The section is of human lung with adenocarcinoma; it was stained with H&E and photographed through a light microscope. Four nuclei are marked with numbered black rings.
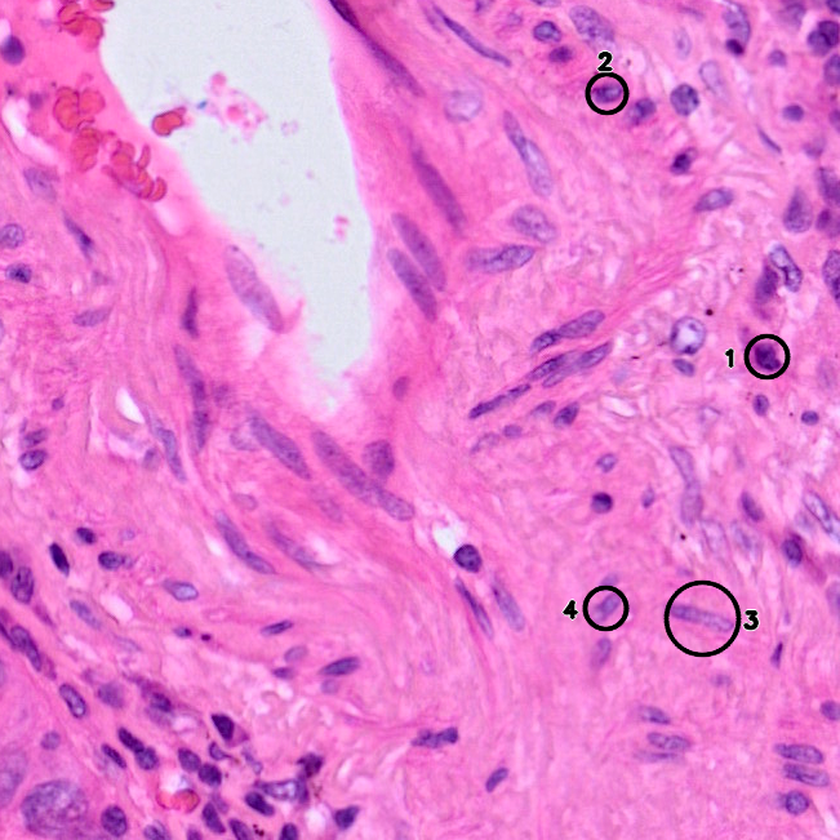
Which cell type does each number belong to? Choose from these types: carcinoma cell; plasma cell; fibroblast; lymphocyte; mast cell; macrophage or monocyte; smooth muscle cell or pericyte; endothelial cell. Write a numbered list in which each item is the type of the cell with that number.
1. plasma cell
2. smooth muscle cell or pericyte
3. smooth muscle cell or pericyte
4. smooth muscle cell or pericyte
